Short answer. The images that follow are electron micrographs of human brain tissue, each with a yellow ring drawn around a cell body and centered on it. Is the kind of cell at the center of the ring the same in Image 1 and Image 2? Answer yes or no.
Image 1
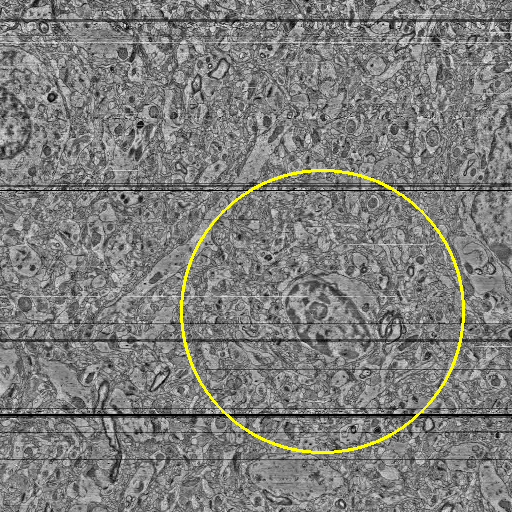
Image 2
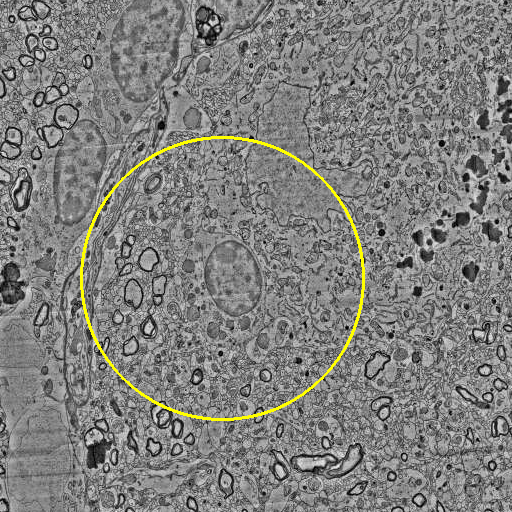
no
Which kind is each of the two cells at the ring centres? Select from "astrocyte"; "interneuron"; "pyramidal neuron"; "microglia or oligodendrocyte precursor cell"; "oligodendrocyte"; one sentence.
The cell at the centre of the ring is a microglial cell or oligodendrocyte precursor cell in the first picture and an oligodendrocyte in the second.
